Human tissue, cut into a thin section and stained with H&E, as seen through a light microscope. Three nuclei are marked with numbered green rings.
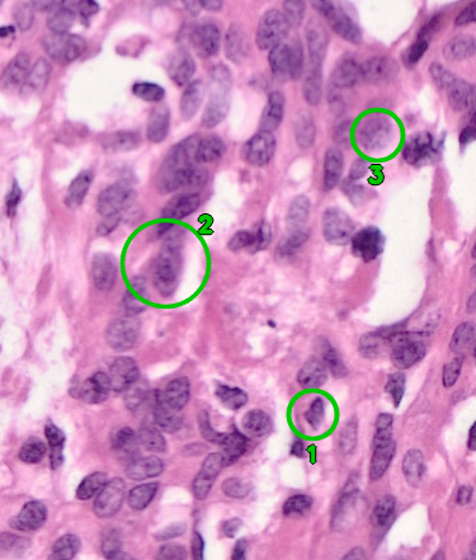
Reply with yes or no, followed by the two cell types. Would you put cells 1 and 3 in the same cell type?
No, as for cell 1, it is a macrophage or monocyte, and cell 3 is a carcinoma cell.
